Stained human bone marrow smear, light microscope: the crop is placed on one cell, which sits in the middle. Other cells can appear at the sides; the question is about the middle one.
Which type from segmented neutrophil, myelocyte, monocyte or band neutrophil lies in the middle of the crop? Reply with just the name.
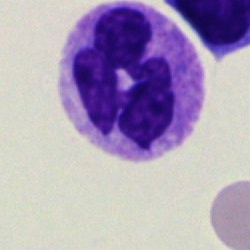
segmented neutrophil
